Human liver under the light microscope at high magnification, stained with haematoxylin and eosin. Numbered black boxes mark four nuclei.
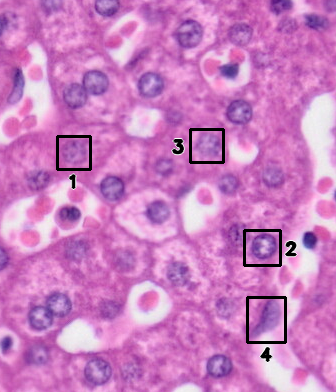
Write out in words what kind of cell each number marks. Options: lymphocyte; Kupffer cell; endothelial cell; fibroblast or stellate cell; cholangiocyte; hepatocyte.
Cells 1, 2 and 3 are hepatocytes. Cell 4 is a Kupffer cell.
